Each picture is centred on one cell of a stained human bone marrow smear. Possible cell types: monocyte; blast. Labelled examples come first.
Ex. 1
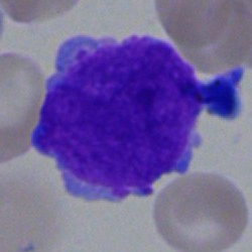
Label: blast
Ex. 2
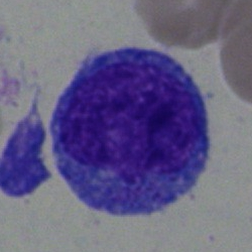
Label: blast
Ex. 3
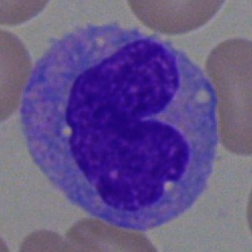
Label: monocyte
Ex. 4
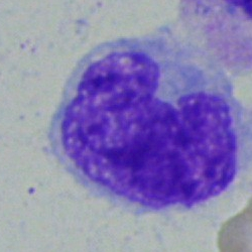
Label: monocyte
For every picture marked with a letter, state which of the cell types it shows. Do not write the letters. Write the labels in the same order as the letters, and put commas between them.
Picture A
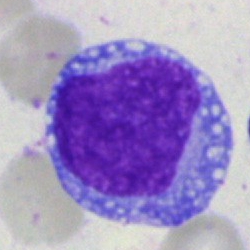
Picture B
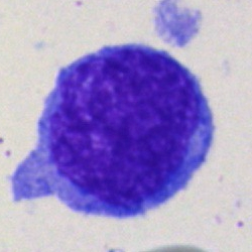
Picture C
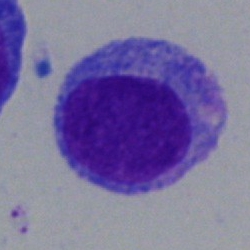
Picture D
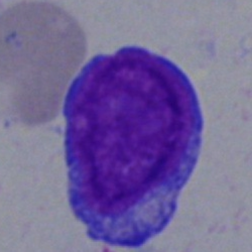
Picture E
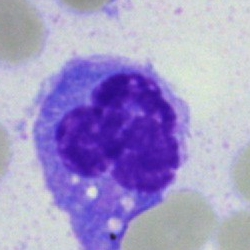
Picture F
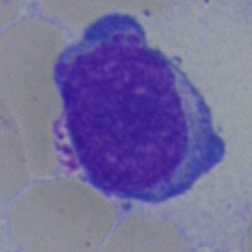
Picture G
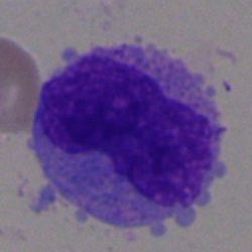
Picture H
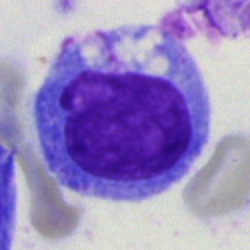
blast, blast, blast, blast, monocyte, blast, monocyte, monocyte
